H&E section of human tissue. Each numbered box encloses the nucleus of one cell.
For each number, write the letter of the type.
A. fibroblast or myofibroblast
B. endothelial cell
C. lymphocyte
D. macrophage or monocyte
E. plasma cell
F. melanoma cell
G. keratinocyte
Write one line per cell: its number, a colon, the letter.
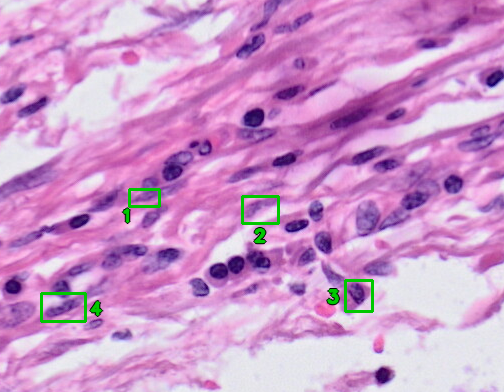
1: A
2: A
3: E
4: B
